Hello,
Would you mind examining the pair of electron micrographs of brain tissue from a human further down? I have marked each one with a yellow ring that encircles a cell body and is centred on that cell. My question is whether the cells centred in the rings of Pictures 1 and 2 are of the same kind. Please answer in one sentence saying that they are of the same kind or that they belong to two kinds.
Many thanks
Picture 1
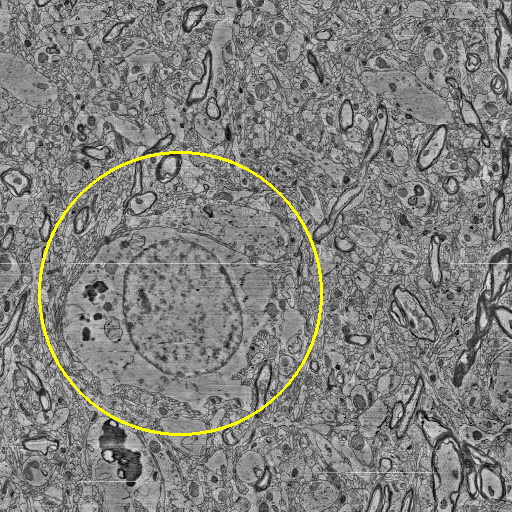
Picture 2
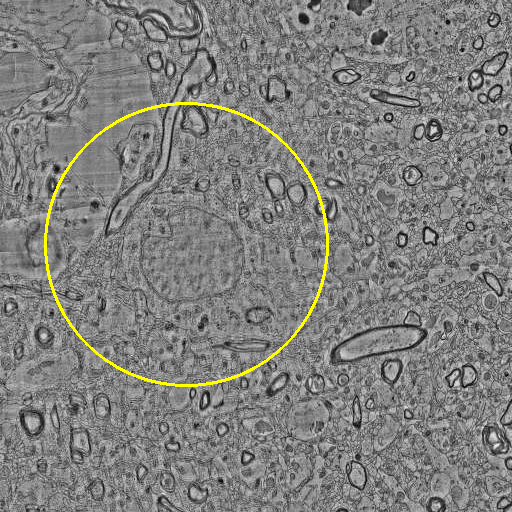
In Pictures 1 and 2, the cells at the heart of the rings belong to two kinds.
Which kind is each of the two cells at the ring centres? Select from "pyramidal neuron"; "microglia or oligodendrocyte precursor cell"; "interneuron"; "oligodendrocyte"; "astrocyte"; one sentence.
The cell at the centre of the ring is an astrocyte in the first picture and an interneuron in the second.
